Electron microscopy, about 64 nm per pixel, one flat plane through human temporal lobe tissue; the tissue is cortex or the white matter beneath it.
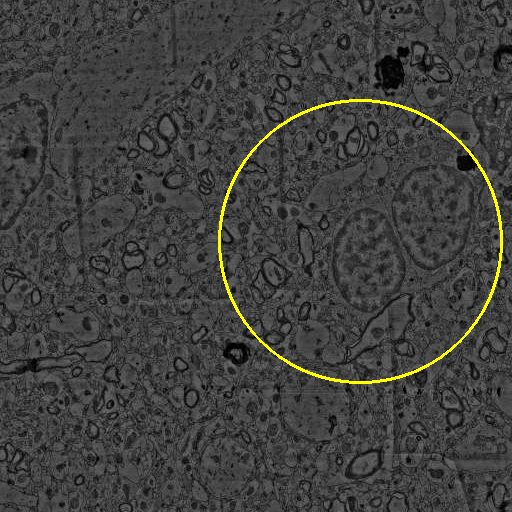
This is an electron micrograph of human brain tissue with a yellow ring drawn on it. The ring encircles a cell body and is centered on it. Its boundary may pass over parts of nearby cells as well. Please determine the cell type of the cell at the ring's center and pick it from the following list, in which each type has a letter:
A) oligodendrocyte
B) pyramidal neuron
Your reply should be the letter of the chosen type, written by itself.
A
